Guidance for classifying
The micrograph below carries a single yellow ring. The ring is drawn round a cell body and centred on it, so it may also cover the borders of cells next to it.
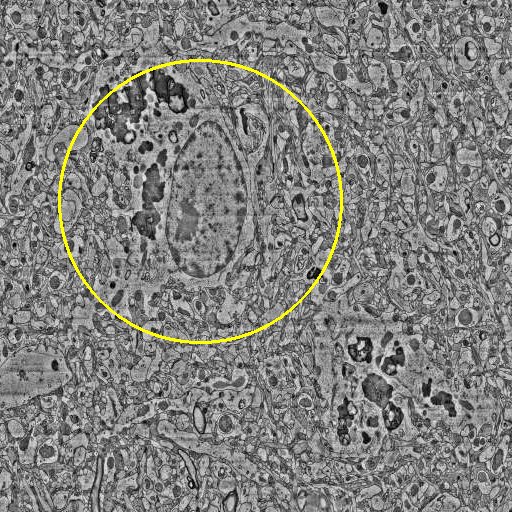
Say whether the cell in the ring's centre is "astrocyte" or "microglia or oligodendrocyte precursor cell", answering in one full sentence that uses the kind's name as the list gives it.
Within the yellow ring, an astrocyte is the cell whose body sits at the centre.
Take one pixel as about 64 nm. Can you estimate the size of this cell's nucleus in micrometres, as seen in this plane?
About 10 by 5 micrometres; in this plane the nucleus is clearly longer than it is wide.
